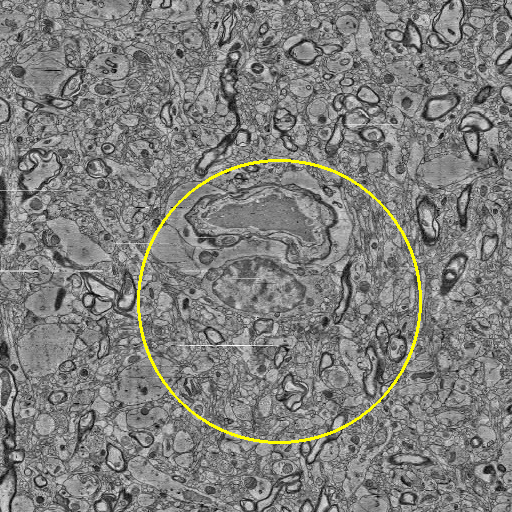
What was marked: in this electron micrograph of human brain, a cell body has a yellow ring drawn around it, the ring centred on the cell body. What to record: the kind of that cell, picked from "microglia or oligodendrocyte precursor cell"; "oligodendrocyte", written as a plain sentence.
The centred cell is an oligodendrocyte.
